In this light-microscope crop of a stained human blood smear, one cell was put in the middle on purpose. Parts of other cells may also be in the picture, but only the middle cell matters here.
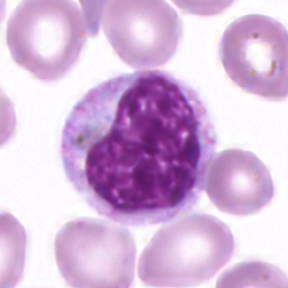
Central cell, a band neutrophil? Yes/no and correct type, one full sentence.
No, the cell of interest here is a metamyelocyte and not a band neutrophil.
